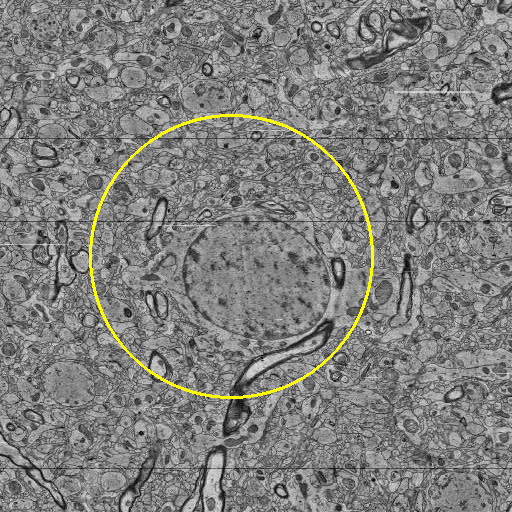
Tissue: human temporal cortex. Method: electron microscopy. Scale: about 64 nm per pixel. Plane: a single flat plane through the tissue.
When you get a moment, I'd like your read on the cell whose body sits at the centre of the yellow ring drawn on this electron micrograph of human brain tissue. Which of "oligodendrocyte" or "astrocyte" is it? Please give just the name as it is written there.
astrocyte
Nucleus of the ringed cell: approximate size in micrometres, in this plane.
The nucleus of the ringed cell is approximately 10 by 9 micrometres in this plane.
